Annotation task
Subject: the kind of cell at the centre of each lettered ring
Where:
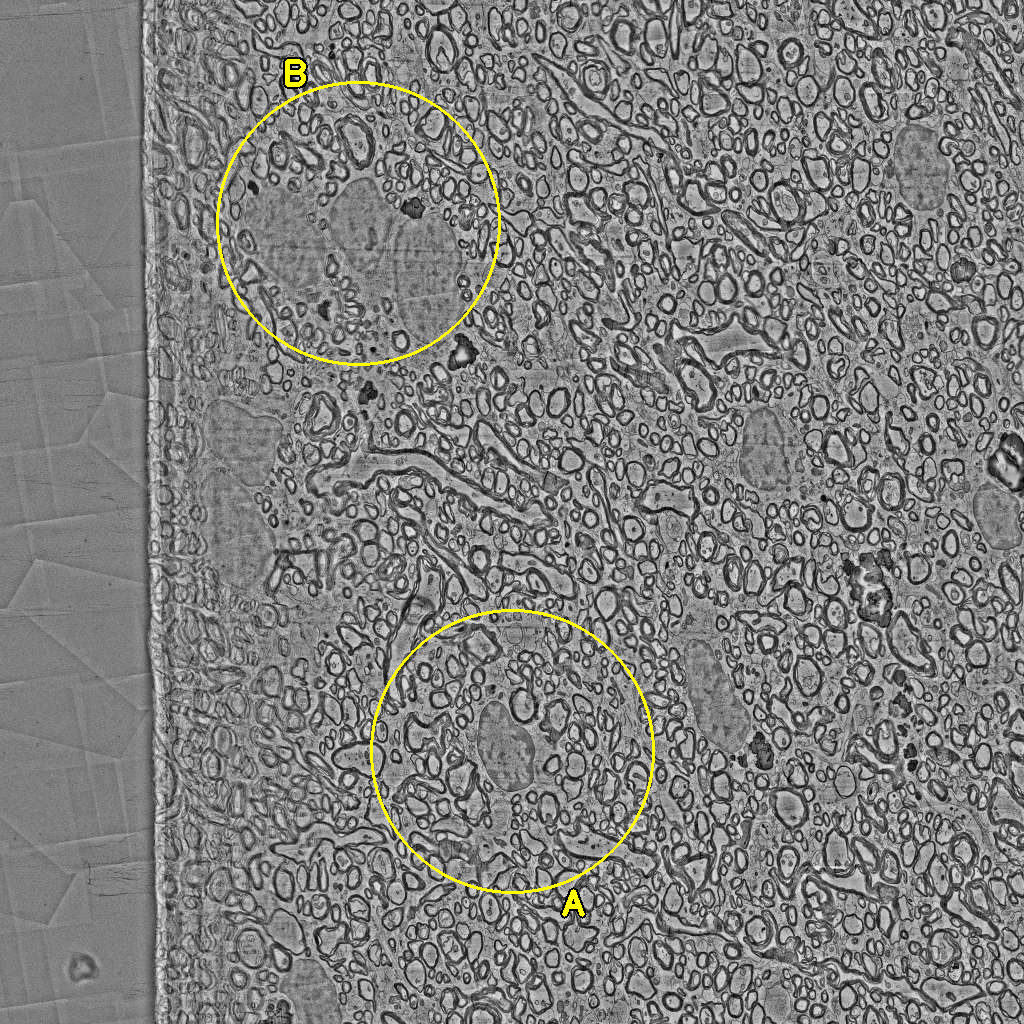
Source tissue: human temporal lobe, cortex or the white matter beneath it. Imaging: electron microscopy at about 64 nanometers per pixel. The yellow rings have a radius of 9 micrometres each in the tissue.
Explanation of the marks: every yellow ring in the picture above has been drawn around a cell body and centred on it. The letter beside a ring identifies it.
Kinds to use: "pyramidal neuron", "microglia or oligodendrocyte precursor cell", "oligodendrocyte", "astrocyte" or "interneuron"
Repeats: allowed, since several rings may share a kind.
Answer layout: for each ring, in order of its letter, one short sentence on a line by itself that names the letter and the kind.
The ring lettered A is drawn around a microglial cell or oligodendrocyte precursor cell.
The ring lettered B is drawn around an oligodendrocyte.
